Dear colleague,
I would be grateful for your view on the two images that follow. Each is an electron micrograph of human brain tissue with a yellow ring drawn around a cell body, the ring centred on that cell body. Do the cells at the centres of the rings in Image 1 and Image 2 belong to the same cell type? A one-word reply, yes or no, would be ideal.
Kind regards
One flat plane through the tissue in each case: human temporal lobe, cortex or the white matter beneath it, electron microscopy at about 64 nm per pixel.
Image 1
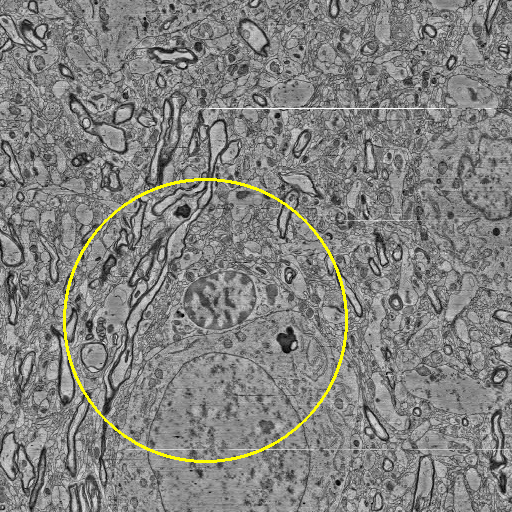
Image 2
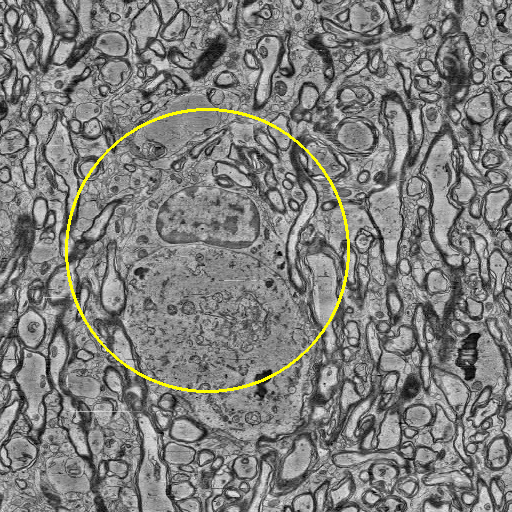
yes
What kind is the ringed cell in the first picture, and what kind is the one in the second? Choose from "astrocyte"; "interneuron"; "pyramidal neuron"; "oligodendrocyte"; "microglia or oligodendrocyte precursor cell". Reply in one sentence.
The ring centre holds a microglial cell or oligodendrocyte precursor cell in each of the two pictures.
